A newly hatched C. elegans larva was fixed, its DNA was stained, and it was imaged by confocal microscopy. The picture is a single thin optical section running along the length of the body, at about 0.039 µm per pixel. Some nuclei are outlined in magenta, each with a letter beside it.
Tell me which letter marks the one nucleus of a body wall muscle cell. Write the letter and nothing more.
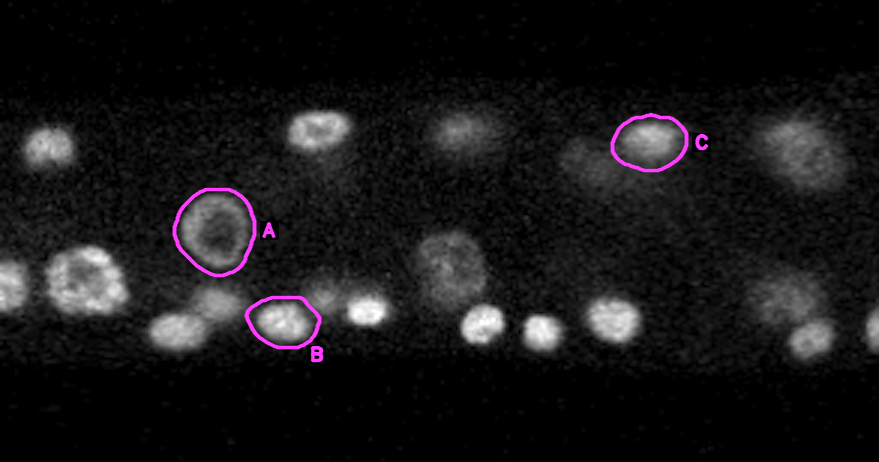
C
